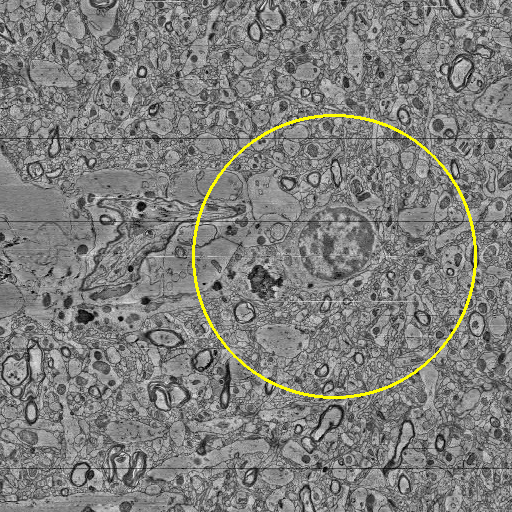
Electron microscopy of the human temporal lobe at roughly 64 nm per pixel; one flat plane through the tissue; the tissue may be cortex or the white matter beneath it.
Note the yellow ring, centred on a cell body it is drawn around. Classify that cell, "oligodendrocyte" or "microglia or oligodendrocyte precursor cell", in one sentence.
The cell the ring is centred on is an oligodendrocyte.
